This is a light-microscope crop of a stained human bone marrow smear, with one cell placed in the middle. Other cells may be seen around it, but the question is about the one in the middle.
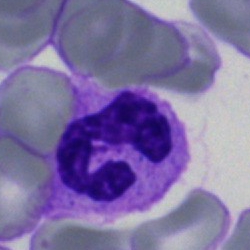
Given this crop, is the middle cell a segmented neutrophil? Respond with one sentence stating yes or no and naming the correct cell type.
Yes, the centrally placed cell is a segmented neutrophil.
